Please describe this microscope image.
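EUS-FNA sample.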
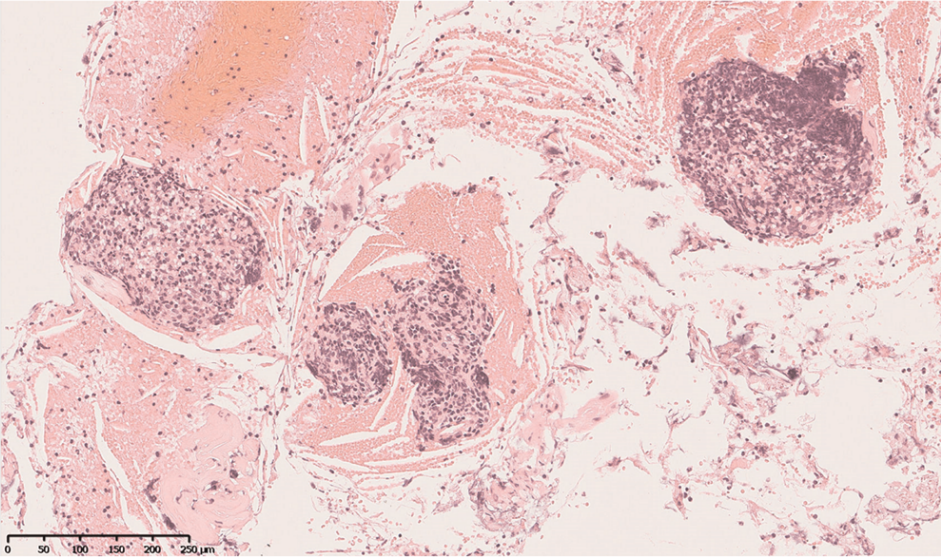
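The clusters are crowded with small cells with dark purple, round nuclei and little cytoplasm, giving them a dense, granular purple look. Around the clusters, the pink material is traversed by many empty, elongated, needle-shaped clefts, often in parallel bundles, consistent with cholesterosis. Small dark round nuclei are scattered singly through the surrounding pink material, and toward the right the background is loose and frayed with fibrillar wisps. An orange-pink homogeneous area lies at the upper left.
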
